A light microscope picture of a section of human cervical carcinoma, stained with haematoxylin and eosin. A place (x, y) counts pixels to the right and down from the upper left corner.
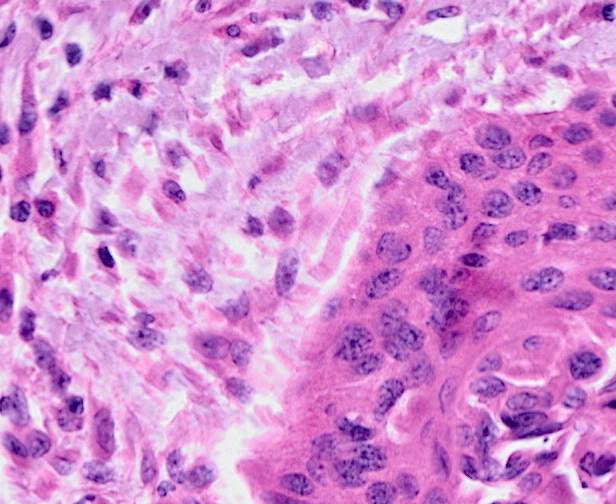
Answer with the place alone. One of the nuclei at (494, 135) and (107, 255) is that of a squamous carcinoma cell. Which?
(494, 135)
